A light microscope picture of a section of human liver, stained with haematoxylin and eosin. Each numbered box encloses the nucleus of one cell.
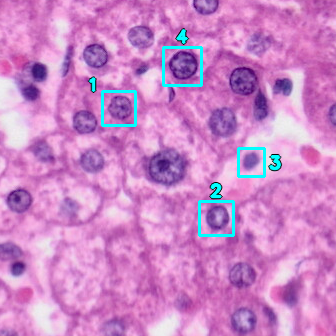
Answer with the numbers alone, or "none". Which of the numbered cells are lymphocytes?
3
